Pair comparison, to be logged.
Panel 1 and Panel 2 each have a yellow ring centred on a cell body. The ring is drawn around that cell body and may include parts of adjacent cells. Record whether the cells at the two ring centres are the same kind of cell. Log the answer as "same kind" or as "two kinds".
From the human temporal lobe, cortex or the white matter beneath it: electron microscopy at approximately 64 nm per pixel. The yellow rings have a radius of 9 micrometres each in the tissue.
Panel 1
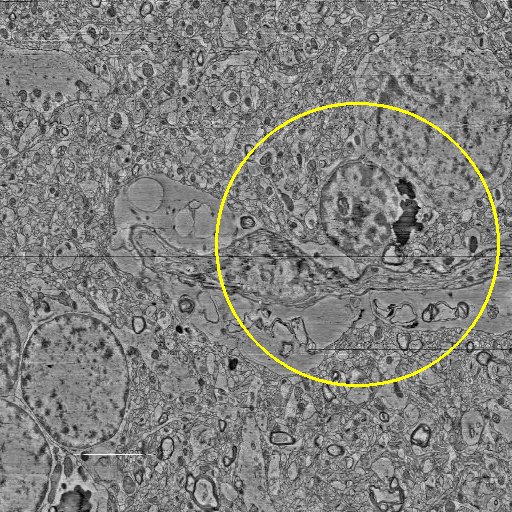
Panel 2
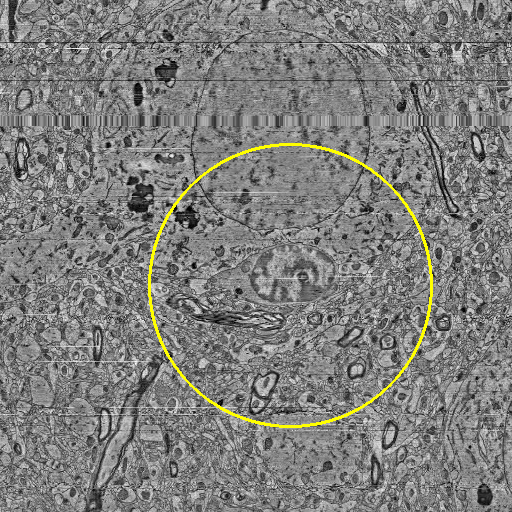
same kind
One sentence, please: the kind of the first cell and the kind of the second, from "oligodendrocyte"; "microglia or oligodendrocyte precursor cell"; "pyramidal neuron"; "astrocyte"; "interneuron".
Both cells are the same kind, each one being an oligodendrocyte.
